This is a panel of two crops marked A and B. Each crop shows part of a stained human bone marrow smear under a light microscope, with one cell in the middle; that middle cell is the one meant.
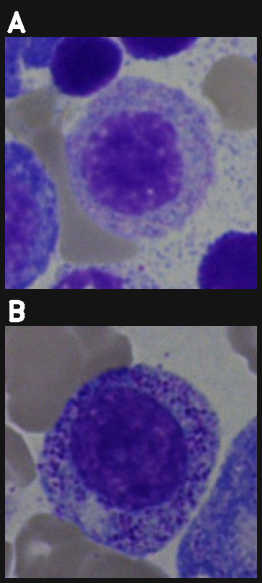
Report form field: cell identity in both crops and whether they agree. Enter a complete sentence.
Yes, myelocytes are depicted in both crops.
